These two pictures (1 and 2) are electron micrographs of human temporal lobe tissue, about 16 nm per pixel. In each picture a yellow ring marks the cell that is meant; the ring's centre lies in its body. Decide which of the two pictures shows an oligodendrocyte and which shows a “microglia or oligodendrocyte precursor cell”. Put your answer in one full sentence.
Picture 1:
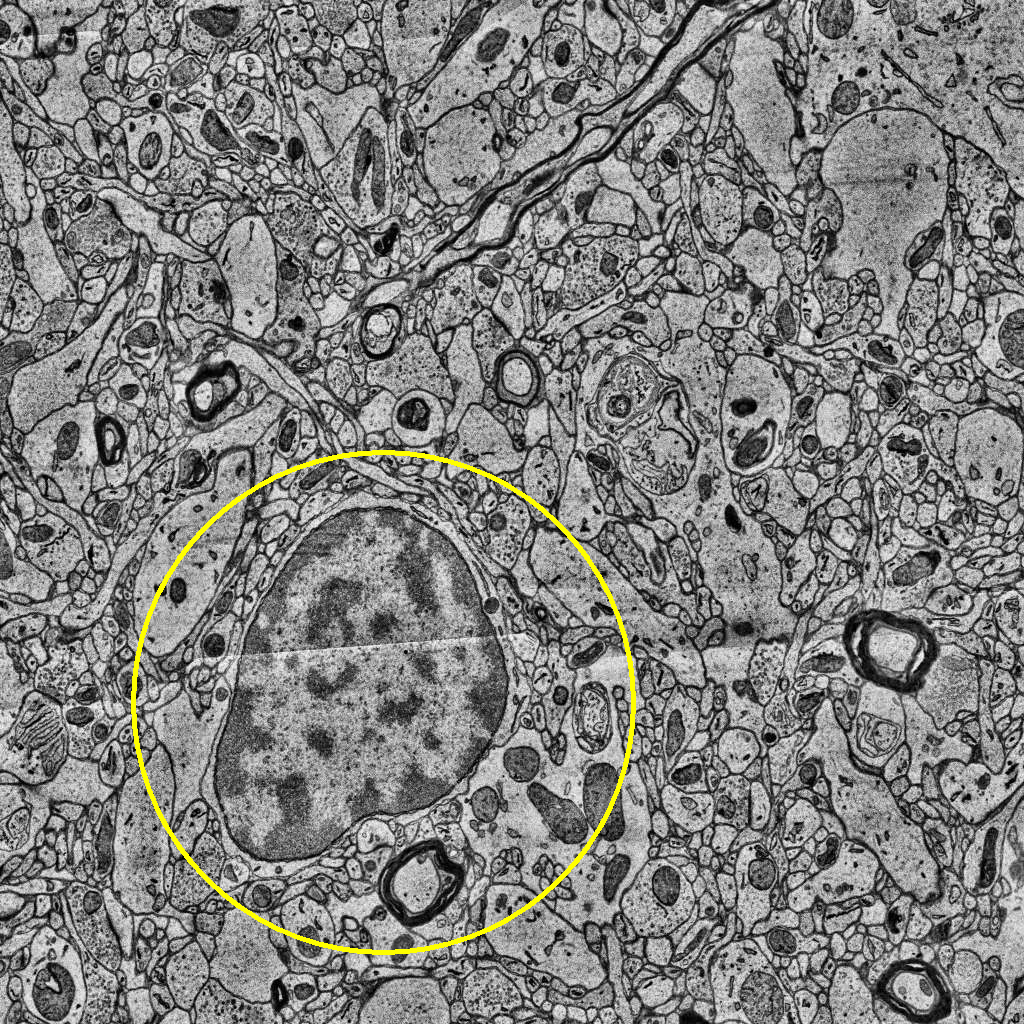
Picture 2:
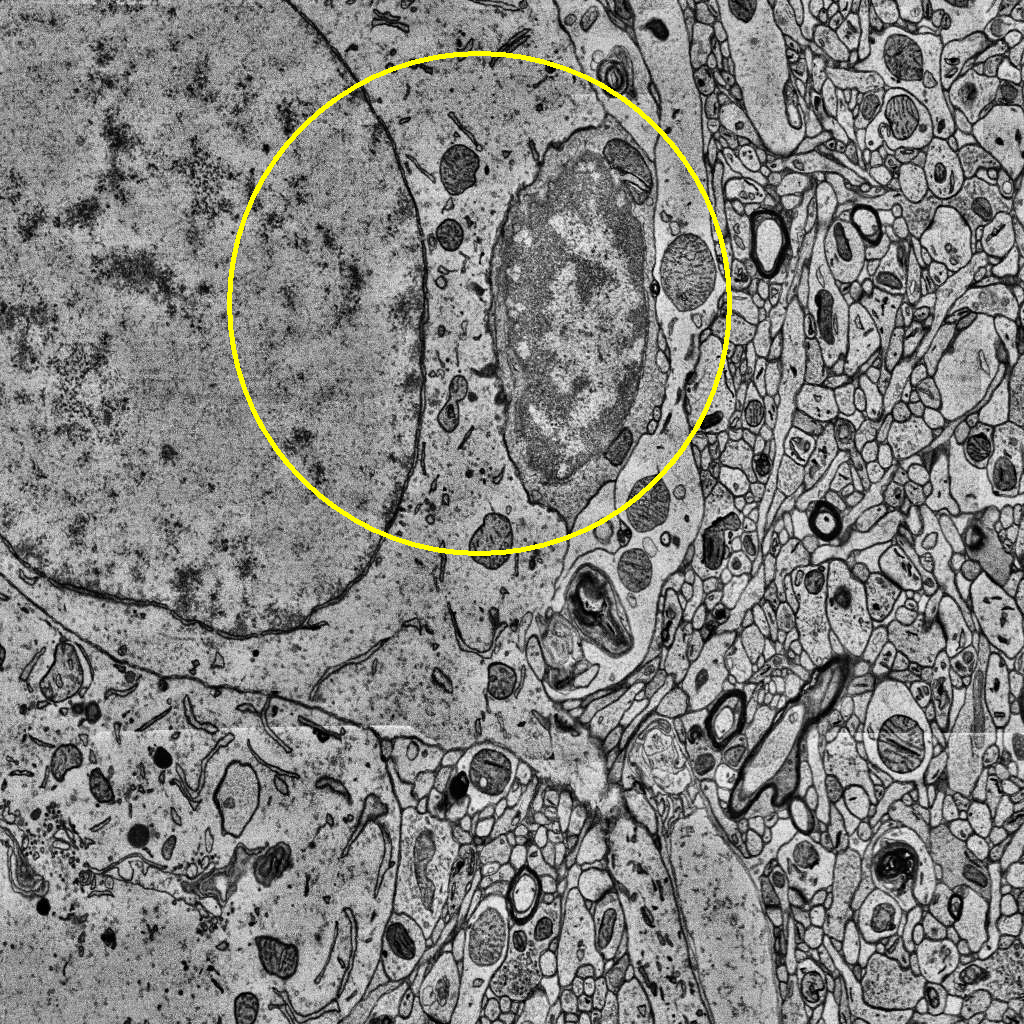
Picture 1 shows a “microglia or oligodendrocyte precursor cell” and picture 2 shows an oligodendrocyte.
